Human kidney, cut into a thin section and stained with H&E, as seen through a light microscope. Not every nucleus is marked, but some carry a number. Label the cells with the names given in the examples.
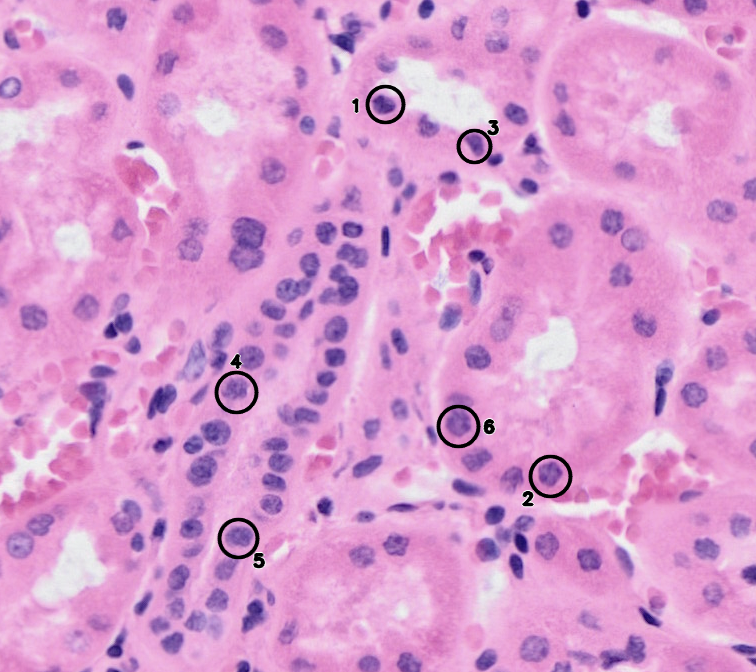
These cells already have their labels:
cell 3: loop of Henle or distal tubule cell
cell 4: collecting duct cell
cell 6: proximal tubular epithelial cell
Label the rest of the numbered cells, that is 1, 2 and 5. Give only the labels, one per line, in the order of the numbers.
loop of Henle or distal tubule cell
proximal tubular epithelial cell
collecting duct cell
